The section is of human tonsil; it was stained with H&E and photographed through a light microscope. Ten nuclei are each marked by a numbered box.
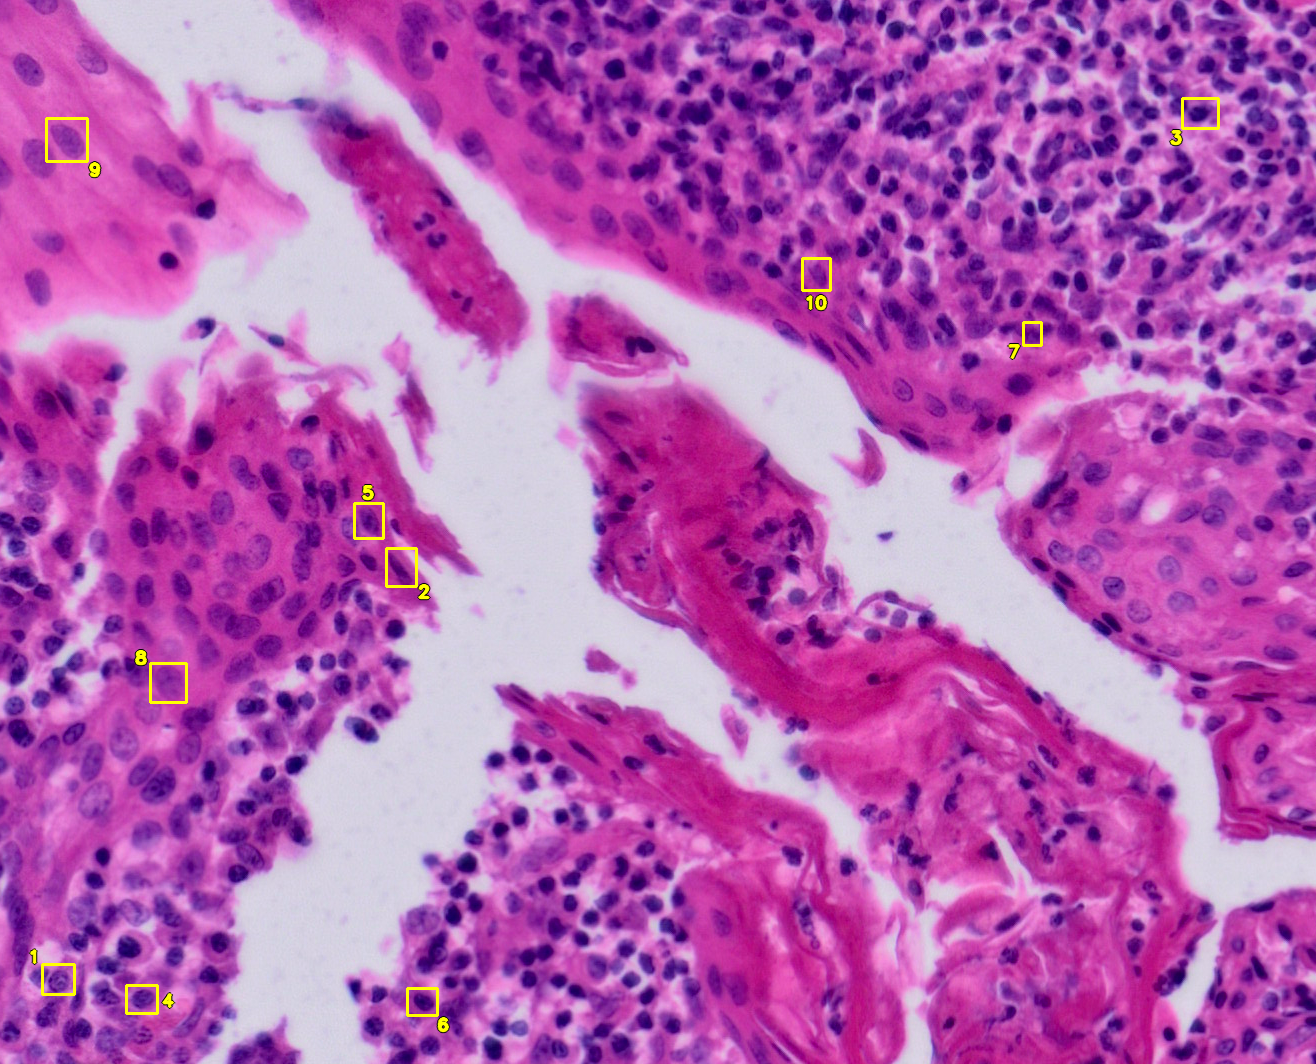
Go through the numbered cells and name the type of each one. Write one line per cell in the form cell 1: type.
cell 1: plasma cell
cell 2: squamous epithelial cell
cell 3: plasma cell
cell 4: plasma cell
cell 5: squamous epithelial cell
cell 6: plasma cell
cell 7: squamous epithelial cell
cell 8: squamous epithelial cell
cell 9: squamous epithelial cell
cell 10: squamous epithelial cell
